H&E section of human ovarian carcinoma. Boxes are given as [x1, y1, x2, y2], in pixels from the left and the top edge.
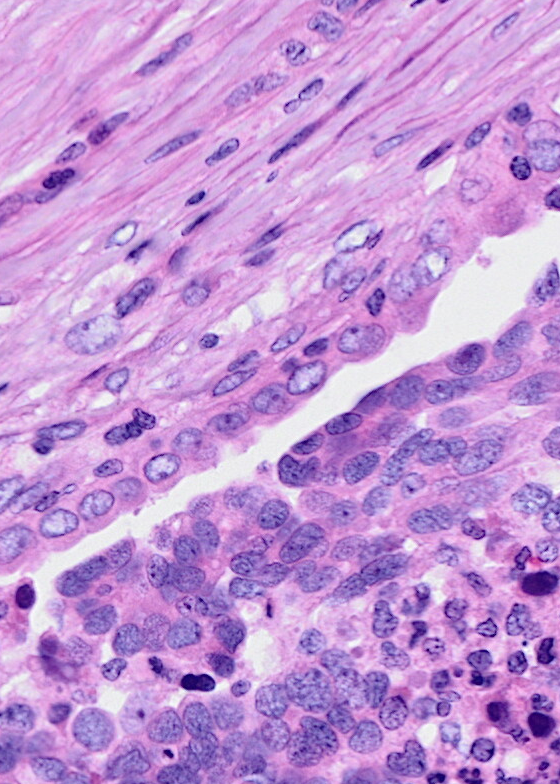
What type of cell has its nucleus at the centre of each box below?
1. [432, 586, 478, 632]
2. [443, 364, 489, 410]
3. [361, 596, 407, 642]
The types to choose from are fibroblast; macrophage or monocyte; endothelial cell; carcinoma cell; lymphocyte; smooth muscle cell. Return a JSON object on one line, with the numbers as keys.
{"1": "macrophage or monocyte", "2": "carcinoma cell", "3": "macrophage or monocyte"}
